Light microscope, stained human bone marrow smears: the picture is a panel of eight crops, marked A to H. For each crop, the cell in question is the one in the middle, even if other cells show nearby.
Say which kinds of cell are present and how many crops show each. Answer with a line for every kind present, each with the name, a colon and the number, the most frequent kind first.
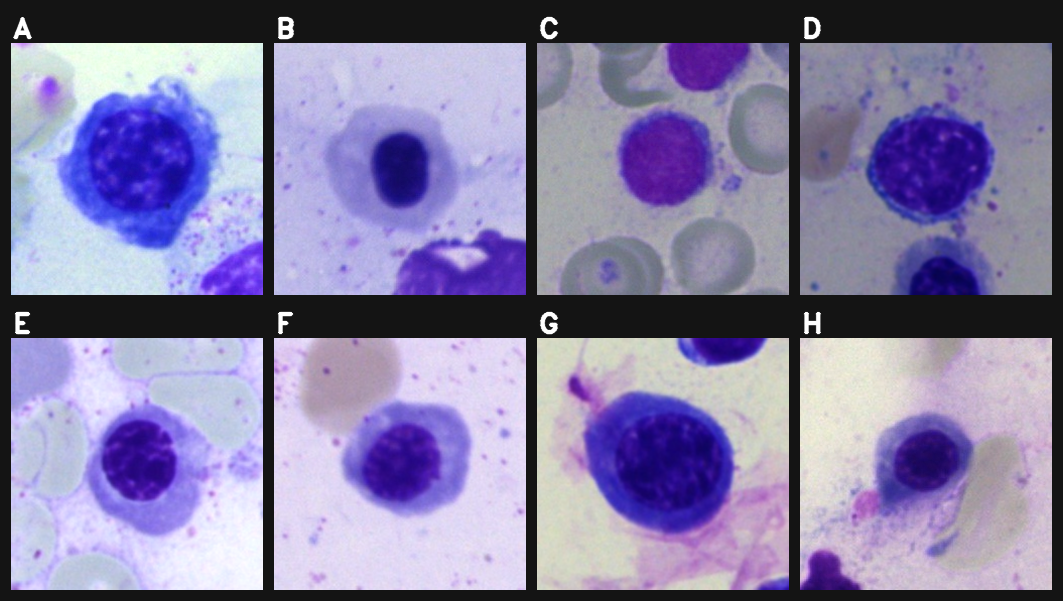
normoblast: 6
lymphocyte: 2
